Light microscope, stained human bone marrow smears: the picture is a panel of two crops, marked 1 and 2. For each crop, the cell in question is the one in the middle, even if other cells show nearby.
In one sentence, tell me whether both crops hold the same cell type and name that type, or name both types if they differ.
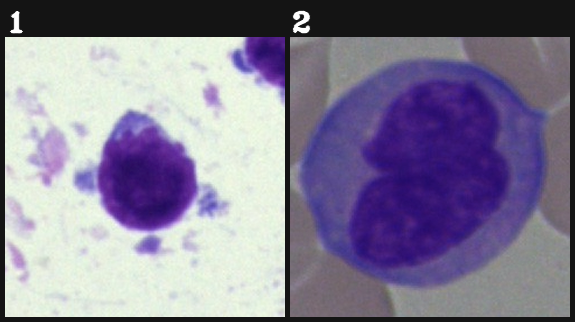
No, crop 1 shows a lymphocyte and crop 2 a monocyte.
